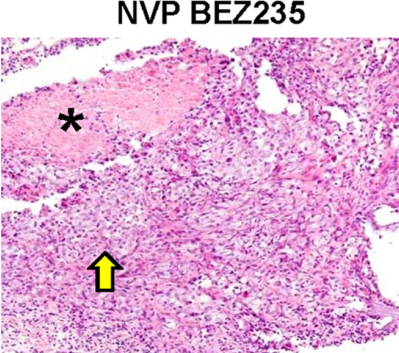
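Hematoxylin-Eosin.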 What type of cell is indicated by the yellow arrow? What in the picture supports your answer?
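Tumoral cells. The arrow points to a cellular area with many purple nuclei and pale cytoplasm.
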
